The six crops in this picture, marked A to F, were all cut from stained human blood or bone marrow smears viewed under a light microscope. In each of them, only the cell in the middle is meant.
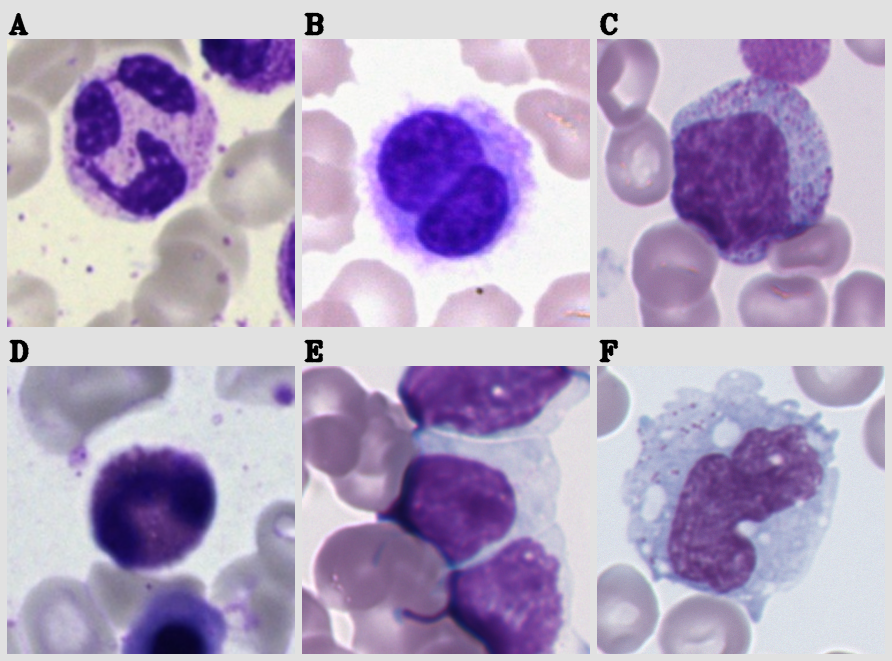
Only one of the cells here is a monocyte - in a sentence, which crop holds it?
It is in crop F that a monocyte is shown.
